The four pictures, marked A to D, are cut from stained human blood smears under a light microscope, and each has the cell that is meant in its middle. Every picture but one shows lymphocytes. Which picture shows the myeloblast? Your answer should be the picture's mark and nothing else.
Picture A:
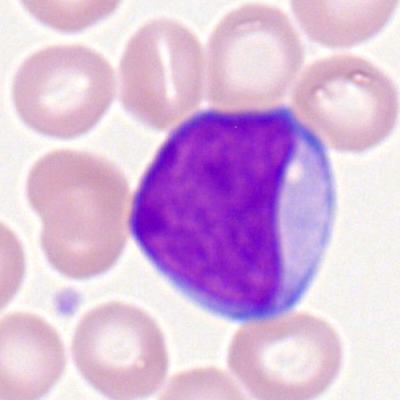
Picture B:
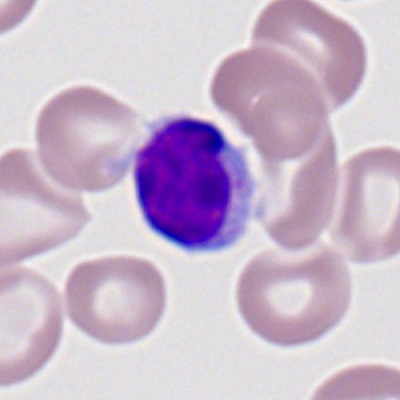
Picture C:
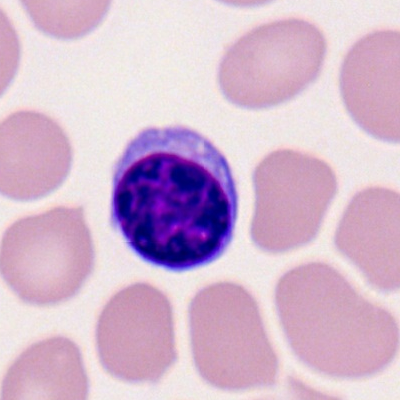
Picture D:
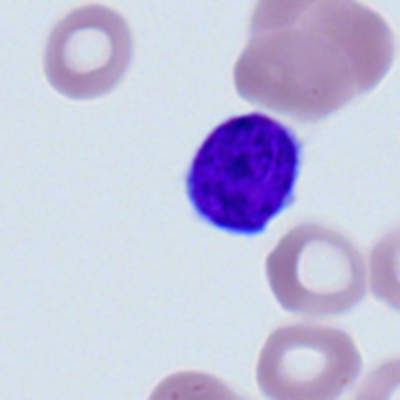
A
